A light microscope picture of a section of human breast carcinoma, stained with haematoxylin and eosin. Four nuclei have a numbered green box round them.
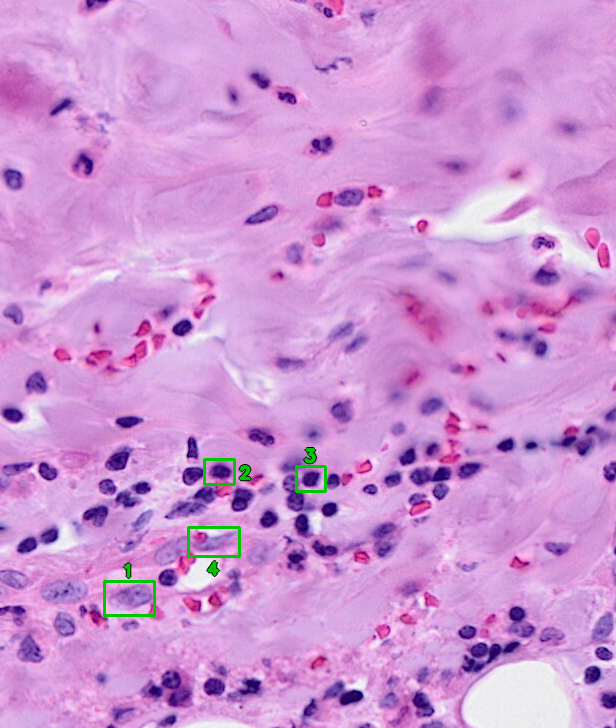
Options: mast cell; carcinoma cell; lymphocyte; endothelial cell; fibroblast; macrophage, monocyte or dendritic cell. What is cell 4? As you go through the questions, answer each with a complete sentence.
The nucleus with number 4 is that of an endothelial cell.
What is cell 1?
Number 1 among the marked cells is an endothelial cell.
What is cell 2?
Recognised here as a lymphocyte is the cell numbered 2.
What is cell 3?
The cell numbered 3 has been identified as a lymphocyte.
